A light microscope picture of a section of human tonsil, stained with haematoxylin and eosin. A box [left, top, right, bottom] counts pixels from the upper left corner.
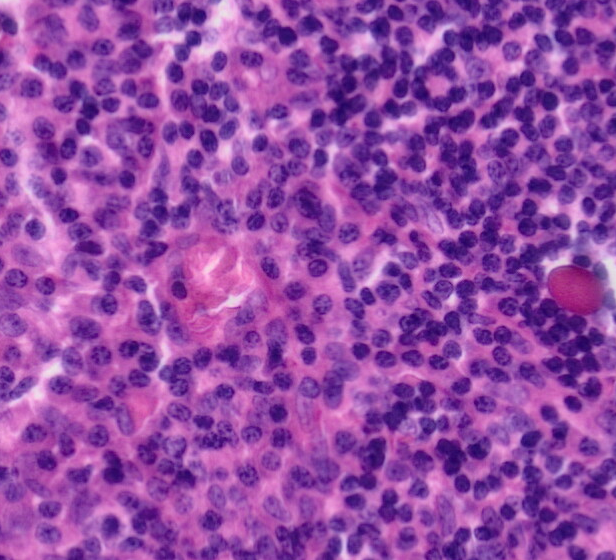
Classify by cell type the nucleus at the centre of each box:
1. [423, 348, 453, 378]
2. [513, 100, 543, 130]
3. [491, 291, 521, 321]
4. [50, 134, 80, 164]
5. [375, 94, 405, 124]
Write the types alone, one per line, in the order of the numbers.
plasma cell
small lymphocyte
plasma cell
plasma cell
small lymphocyte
